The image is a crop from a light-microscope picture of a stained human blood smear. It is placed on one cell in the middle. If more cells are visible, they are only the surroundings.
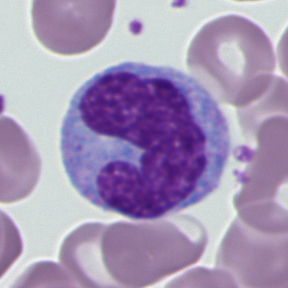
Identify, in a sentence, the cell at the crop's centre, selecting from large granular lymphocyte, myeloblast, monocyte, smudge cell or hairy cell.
This crop's central cell is a monocyte.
